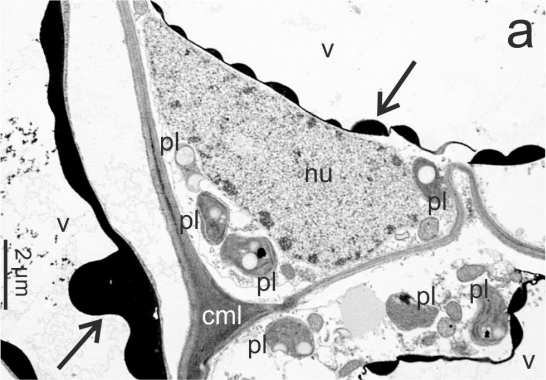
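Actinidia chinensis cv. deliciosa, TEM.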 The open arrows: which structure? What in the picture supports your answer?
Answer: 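Solid black, electron-dense masses line the vacuole margins. The deposits are irregular and lobed, pressed against the tonoplast. On this evidence: deposition of phenols.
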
